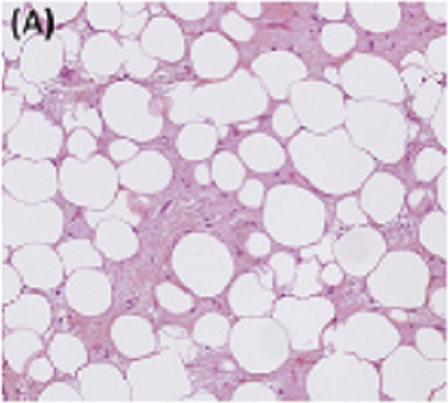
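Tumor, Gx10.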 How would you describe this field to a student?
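This tissue is made mostly of mature adipocytes, seen as empty round spaces left where the fat was dissolved. The fat cells vary strikingly in size, and between them run strands of pink collagenous background with scattered purple nuclei.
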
